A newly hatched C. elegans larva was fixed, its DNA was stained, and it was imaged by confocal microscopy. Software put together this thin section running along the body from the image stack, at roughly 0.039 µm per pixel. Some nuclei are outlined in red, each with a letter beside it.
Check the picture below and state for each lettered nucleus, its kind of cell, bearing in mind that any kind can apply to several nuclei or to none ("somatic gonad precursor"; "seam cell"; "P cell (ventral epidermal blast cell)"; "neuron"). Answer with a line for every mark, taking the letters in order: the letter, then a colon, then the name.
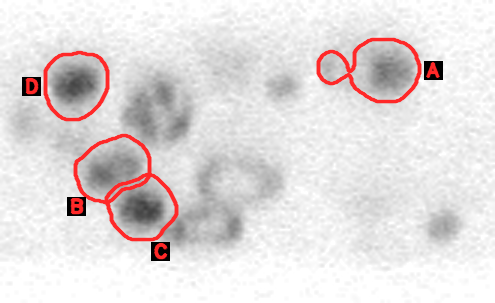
A: seam cell
B: somatic gonad precursor
C: neuron
D: neuron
